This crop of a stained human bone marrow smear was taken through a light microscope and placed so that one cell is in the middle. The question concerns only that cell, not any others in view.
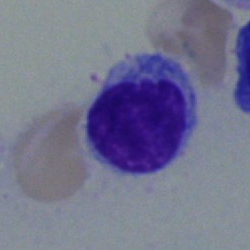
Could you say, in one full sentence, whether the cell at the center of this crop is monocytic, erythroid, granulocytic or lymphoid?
The cell at the center of this crop is categorized as lymphoid in lineage.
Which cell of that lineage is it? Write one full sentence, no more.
At the middle of the frame sits a lymphocyte.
